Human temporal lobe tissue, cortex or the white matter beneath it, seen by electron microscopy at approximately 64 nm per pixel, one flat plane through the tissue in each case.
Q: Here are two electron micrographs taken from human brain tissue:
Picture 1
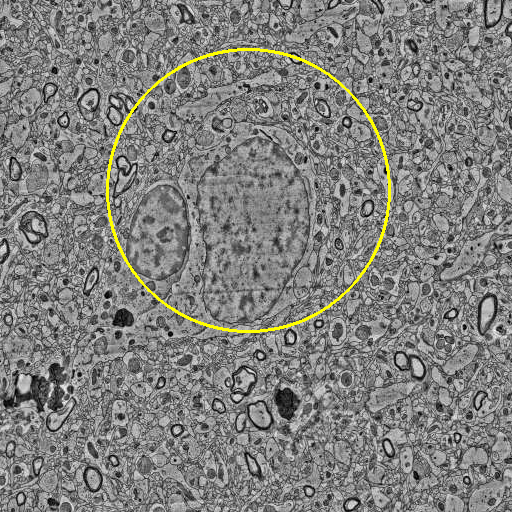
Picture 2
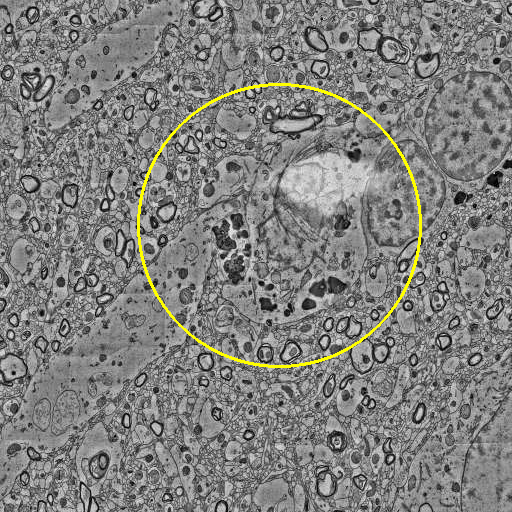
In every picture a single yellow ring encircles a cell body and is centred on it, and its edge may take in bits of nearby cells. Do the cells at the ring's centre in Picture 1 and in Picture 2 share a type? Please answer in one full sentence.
Yes, the cells at the ring's centre in Picture 1 and Picture 2 share a type.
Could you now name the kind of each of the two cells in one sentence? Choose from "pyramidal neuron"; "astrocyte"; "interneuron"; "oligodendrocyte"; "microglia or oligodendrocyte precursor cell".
The second cell is an interneuron, just as the first is.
